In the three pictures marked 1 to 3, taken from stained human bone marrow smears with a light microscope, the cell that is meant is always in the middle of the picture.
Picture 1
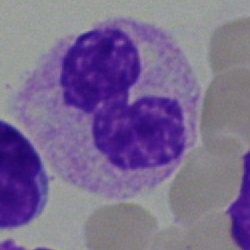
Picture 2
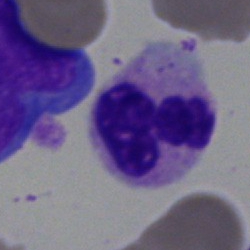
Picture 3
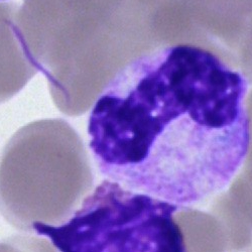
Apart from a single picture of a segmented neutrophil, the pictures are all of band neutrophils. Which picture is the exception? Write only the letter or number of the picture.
2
